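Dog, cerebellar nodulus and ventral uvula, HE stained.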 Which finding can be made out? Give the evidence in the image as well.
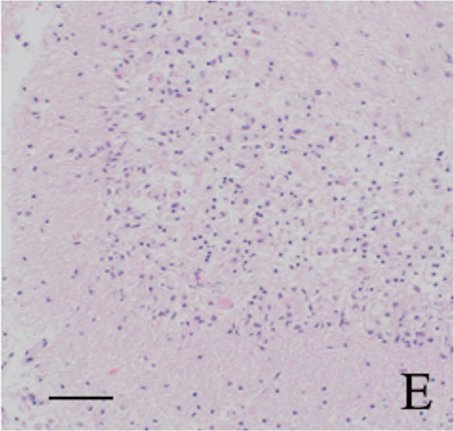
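The granular layer is thinly populated with scattered small nuclei. The tissue is pale with loose, vacuolated neuropil. The answer: Neuronal degeneration and loss.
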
